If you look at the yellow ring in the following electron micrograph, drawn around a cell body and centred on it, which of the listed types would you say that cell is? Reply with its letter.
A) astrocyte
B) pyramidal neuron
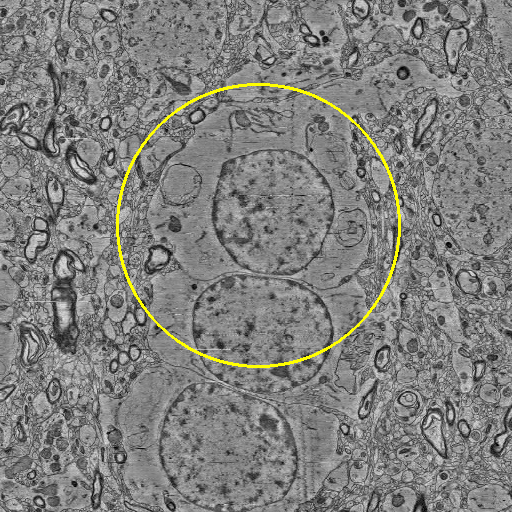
A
